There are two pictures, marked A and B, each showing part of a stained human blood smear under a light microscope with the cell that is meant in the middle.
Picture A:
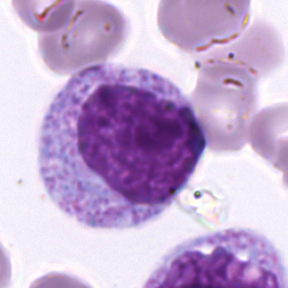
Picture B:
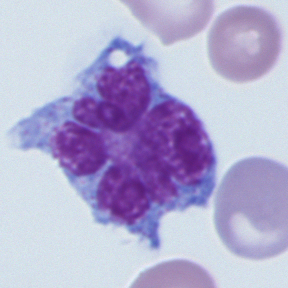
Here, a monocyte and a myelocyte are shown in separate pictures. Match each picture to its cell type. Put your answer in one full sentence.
The cell in picture A is a myelocyte, and the one in picture B is a monocyte.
